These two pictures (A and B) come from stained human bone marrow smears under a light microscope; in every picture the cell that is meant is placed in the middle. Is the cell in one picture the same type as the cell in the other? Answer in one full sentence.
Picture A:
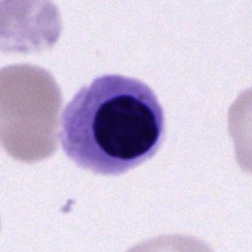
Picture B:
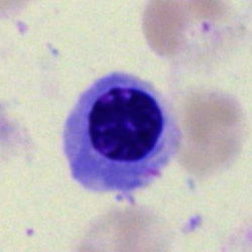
Yes, both cells are erythroblasts.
